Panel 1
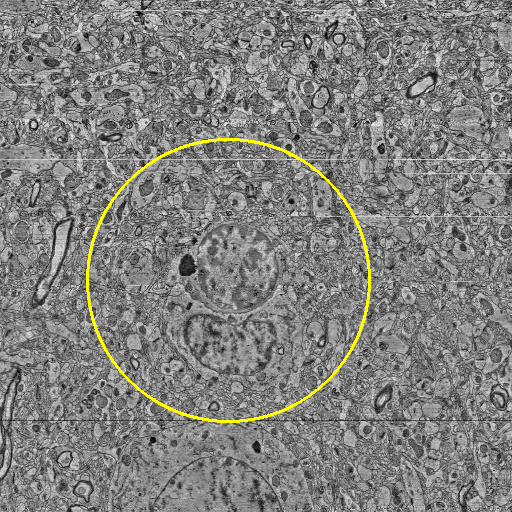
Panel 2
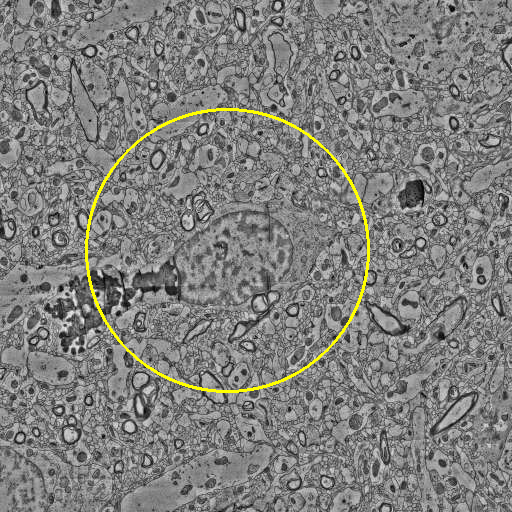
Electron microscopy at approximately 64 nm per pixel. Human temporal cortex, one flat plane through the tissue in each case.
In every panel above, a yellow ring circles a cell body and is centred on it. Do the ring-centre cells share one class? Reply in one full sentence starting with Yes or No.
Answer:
Yes, the two cells at the ring centres in the panels belong to one class.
